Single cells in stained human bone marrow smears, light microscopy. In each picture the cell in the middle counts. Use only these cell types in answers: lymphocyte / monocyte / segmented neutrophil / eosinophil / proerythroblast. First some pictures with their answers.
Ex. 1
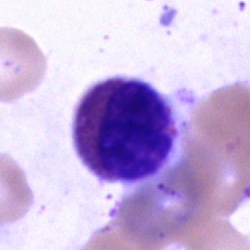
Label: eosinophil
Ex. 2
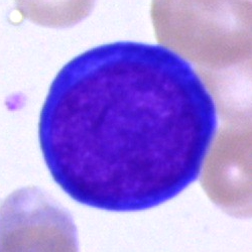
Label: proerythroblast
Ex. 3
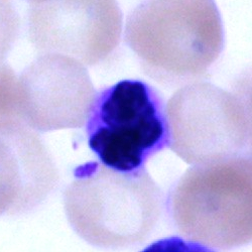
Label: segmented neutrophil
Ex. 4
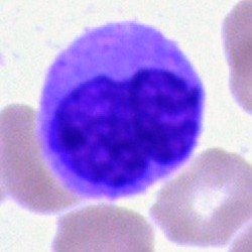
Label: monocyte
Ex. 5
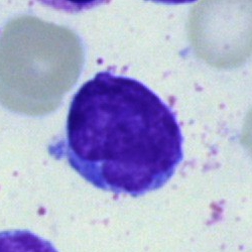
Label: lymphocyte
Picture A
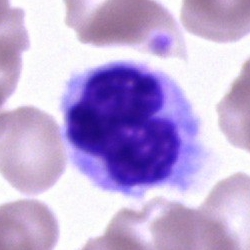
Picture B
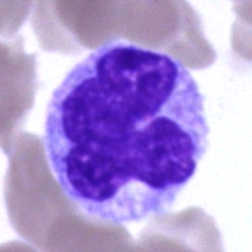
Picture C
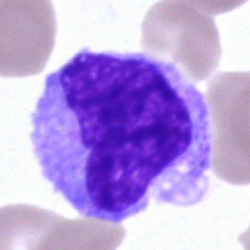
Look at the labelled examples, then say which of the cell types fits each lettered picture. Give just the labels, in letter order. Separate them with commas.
monocyte, monocyte, monocyte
